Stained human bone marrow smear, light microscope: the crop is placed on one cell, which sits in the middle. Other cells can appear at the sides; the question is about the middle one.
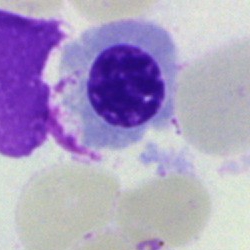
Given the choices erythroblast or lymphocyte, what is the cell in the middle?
erythroblast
